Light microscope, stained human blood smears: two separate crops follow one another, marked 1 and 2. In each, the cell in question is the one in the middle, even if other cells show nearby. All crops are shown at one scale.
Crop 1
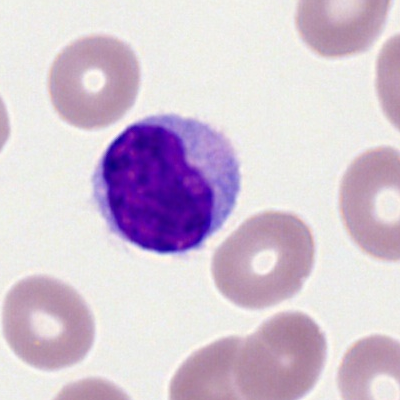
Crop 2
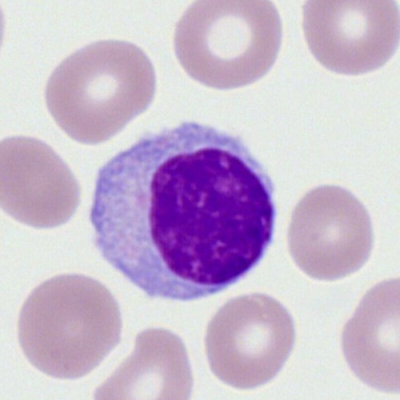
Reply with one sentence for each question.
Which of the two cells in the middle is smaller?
The cell in crop 1 is smaller; the one in crop 2 has about 1.5 times its area.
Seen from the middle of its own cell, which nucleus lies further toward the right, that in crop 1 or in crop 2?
Seen within its cell, the nucleus in crop 2 lies further toward the right.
